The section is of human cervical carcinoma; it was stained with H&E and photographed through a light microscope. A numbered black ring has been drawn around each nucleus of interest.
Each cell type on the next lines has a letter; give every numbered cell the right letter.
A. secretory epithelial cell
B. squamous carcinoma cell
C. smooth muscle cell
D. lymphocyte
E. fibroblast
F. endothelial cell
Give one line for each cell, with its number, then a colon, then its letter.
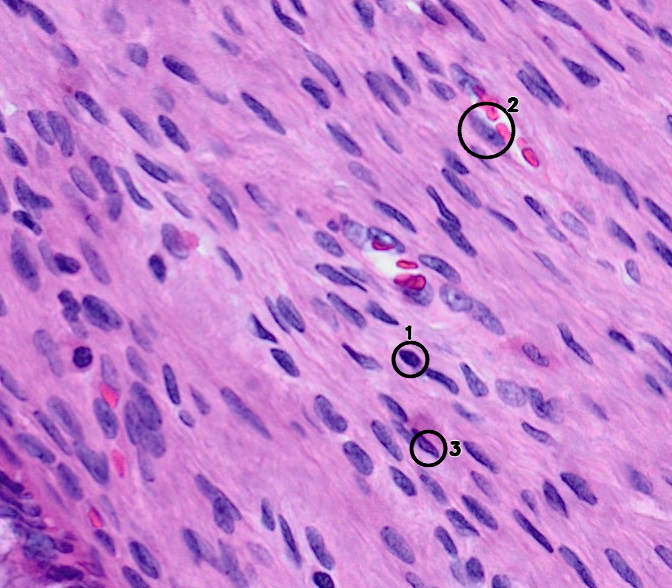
1: D
2: F
3: E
